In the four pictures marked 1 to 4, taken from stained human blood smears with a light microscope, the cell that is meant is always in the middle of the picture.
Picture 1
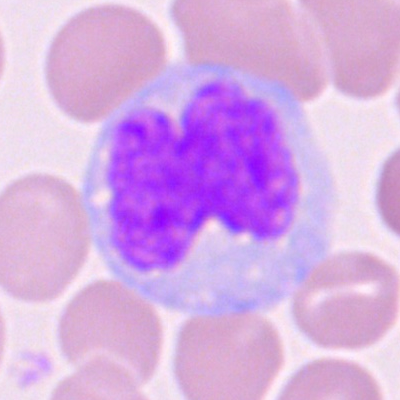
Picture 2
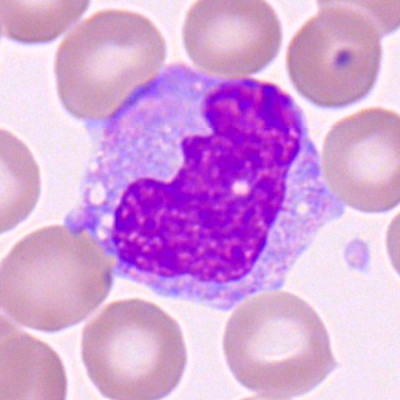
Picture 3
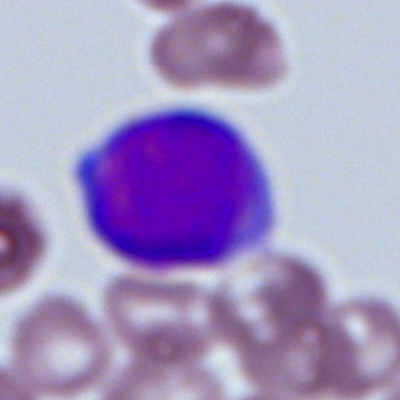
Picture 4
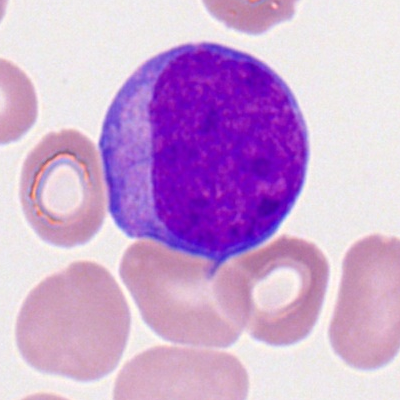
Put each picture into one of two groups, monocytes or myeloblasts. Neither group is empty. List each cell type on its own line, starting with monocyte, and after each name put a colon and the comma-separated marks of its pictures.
monocyte: 1, 2
myeloblast: 3, 4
